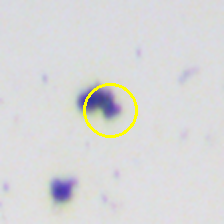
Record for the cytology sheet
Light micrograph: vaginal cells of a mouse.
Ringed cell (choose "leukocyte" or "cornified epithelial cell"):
leukocyte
